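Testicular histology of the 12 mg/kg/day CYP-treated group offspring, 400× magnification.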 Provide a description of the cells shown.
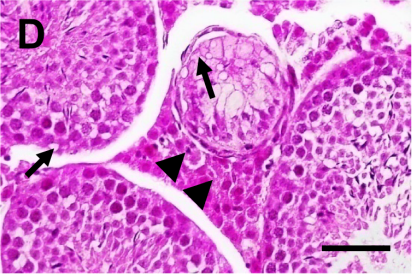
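This is a section of testis with several seminiferous tubules stained pink and purple. Most tubules are packed with layers of germ cells with round purple nuclei. At the top centre one small tubule is largely filled with pale, clear, foamy spaces in place of compact cells, a vacuolated appearance. Near the left edge of a tubule further clear gaps appear among germ cells. Between tubules the interstitial spaces contain clusters of cells with dark nuclei.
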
